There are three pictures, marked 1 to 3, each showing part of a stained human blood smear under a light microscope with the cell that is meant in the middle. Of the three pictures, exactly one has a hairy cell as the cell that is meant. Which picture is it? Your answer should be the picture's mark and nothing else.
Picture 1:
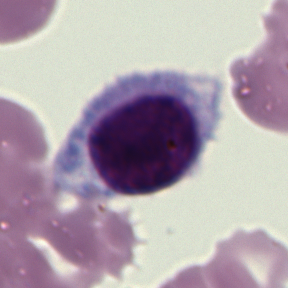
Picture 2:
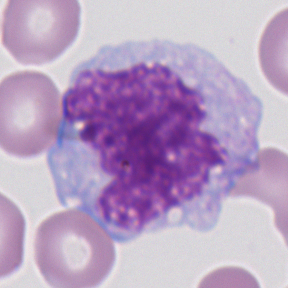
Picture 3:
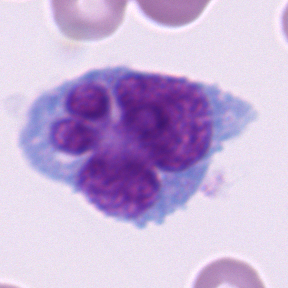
1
